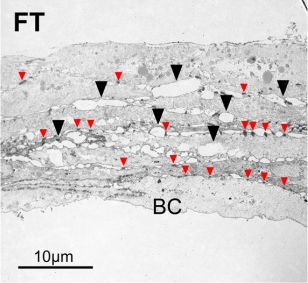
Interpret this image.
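The upper cells are flattened and run parallel to the surface, with a grey granular cytoplasm. Along the lines where the cells meet, small dark dense spots are seen at the contact points. Unlike a healthy sheet, many pale, empty, rounded spaces open up between the cells, most of them in the middle layers. These gaps loosen the contact between neighbouring cells.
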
